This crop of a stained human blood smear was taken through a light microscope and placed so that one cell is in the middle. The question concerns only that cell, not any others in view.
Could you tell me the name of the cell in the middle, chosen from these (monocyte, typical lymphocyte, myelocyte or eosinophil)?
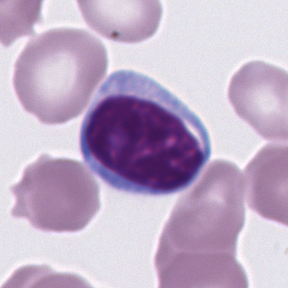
typical lymphocyte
